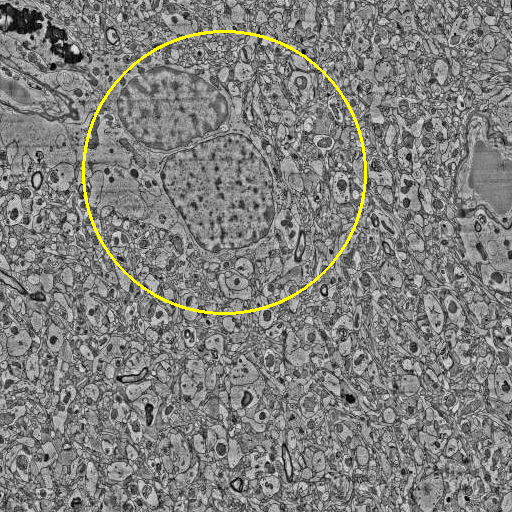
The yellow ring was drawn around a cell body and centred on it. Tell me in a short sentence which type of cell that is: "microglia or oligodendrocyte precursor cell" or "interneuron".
The cell at the ring's centre is a microglial cell or oligodendrocyte precursor cell.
